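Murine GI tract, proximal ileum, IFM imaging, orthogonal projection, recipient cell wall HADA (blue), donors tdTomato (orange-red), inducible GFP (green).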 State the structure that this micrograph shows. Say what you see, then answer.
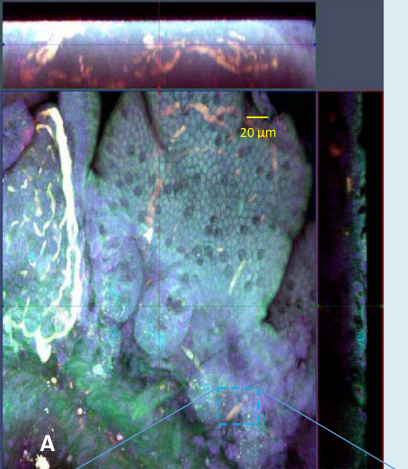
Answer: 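Several rounded finger-like projections of mucosa fill the main view. Their surfaces show a cobbled pattern of closely packed round epithelial cells. Side strips along the top and right show the depth of the stack.
Hence: Villi.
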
